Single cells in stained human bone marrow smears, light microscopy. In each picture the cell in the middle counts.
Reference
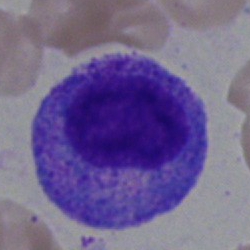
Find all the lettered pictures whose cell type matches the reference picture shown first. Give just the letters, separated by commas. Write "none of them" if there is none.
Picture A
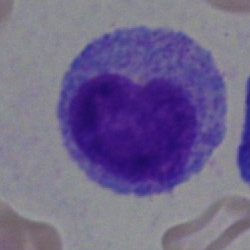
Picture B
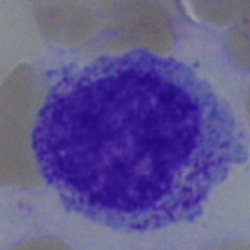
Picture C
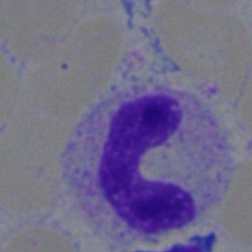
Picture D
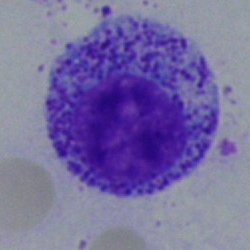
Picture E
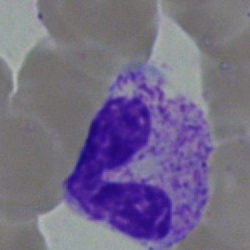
A, B, D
